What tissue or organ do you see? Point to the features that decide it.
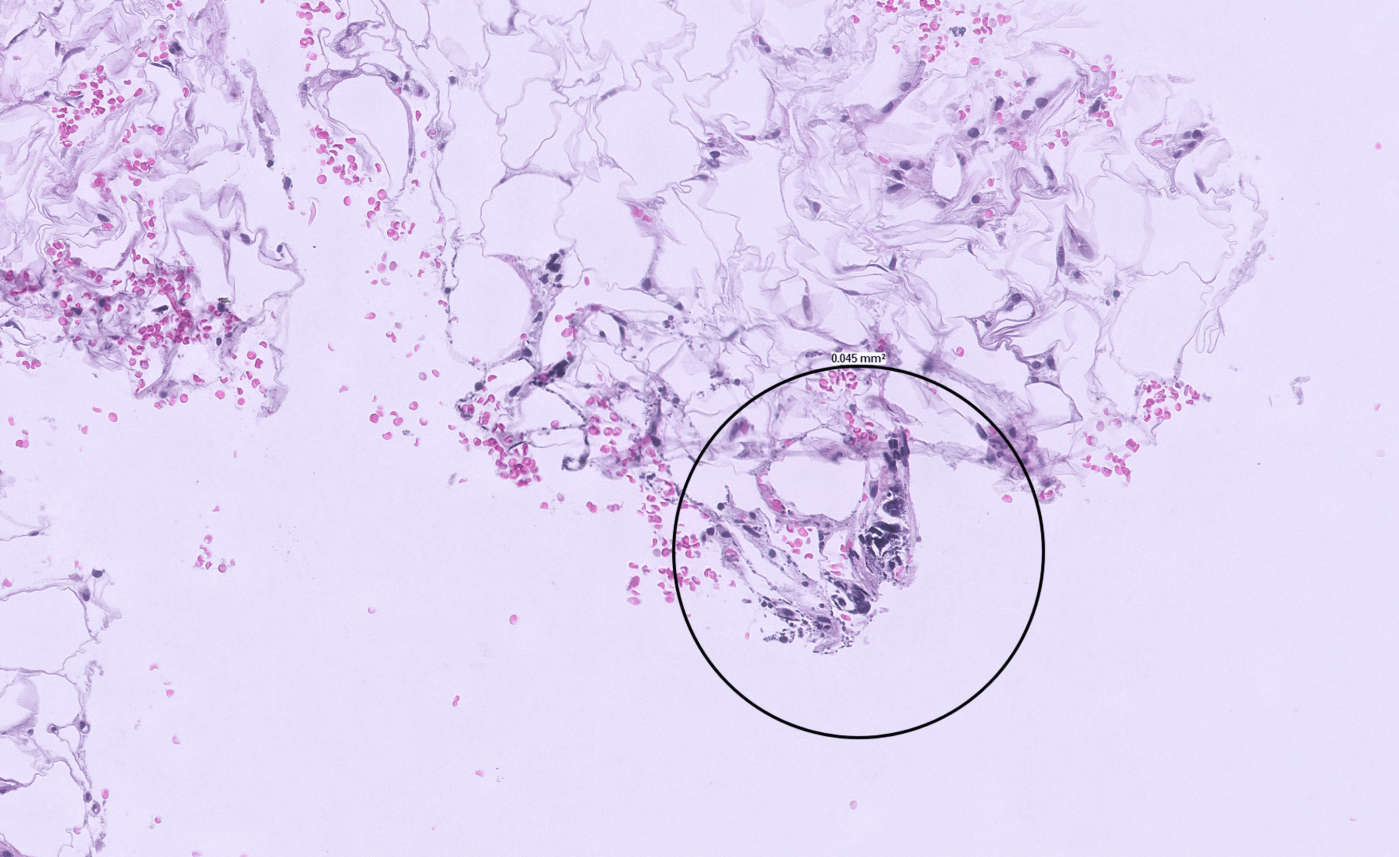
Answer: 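Large empty polygonal spaces separated by thin pale membranes. Few flattened nuclei lie along the thin septa. Scattered red blood cells lie between and around the spaces. The answer: adipose tissue.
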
